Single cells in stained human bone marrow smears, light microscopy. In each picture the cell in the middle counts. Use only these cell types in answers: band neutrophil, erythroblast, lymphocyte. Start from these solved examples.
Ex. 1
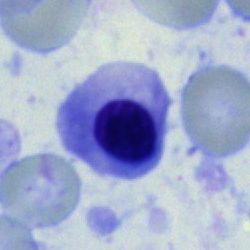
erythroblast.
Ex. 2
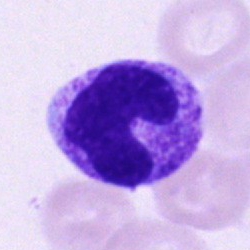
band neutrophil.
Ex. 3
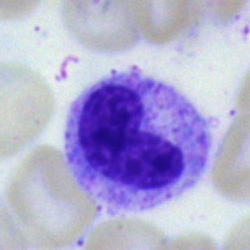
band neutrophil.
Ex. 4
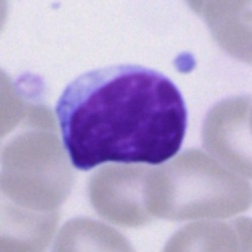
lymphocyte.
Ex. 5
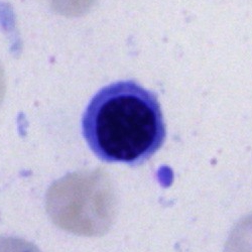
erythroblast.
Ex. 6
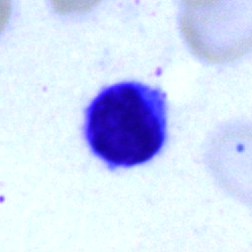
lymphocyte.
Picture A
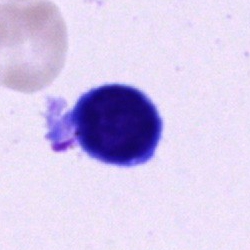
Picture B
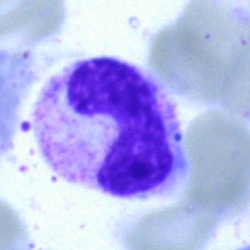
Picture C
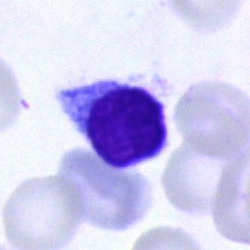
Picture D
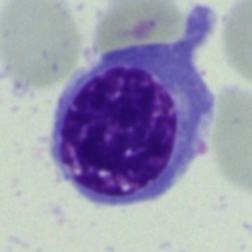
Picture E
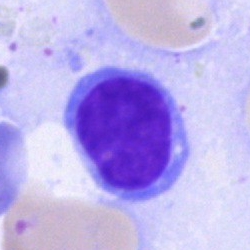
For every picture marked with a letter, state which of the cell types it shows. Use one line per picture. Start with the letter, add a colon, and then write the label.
A: lymphocyte.
B: band neutrophil.
C: lymphocyte.
D: erythroblast.
E: lymphocyte.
